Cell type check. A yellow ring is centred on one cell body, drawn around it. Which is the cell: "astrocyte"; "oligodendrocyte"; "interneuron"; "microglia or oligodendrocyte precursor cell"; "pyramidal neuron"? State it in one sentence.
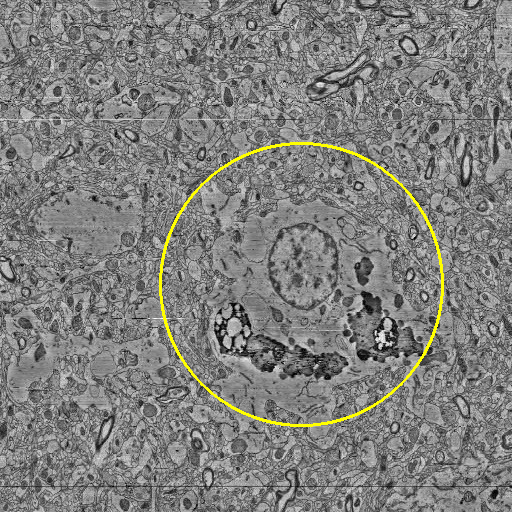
The cell body at the ring's centre belongs to an astrocyte.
